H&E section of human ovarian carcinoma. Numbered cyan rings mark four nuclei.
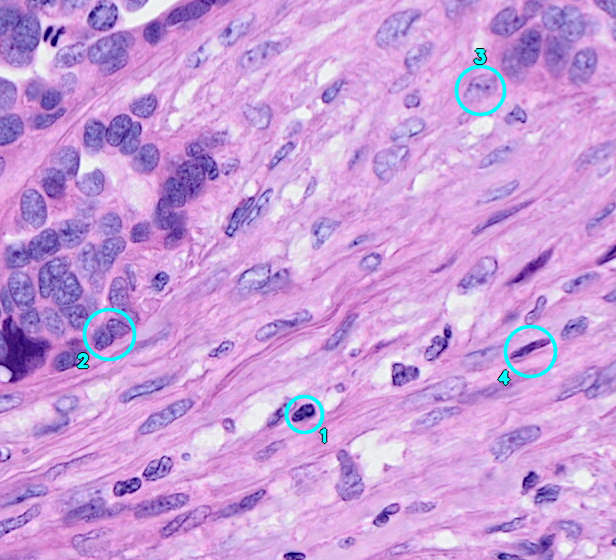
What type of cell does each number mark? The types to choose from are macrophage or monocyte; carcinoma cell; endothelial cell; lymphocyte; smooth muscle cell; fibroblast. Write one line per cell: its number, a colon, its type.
1: lymphocyte
2: carcinoma cell
3: fibroblast
4: fibroblast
